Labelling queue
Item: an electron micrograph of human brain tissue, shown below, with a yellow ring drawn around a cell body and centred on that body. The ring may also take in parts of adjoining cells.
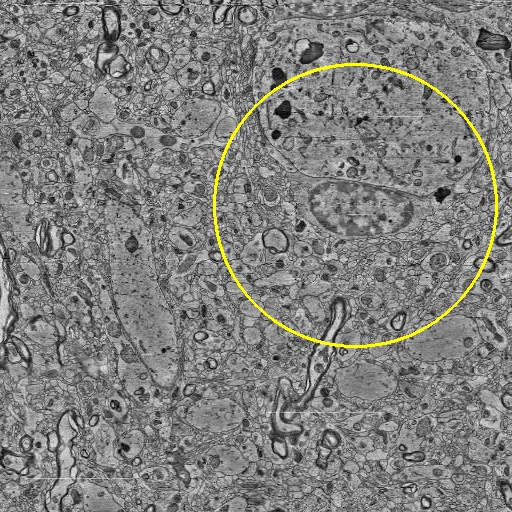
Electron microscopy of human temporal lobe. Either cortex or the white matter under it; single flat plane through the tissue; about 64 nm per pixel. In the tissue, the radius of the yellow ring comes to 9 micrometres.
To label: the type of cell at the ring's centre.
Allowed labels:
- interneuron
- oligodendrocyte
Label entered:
oligodendrocyte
